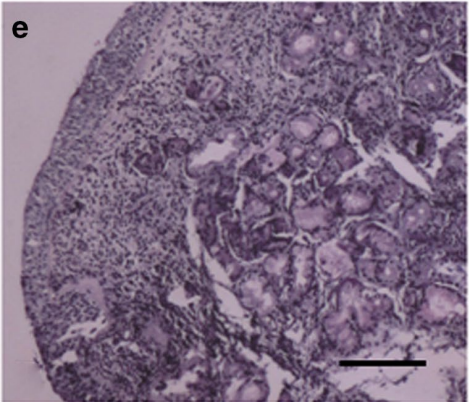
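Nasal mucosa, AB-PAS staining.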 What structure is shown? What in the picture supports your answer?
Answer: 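Many rounded acini crowd the tissue beneath the surface epithelium. The acinar cells have pale, purple-tinged cytoplasm with nuclei at the base. That points to this answer: gland.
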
